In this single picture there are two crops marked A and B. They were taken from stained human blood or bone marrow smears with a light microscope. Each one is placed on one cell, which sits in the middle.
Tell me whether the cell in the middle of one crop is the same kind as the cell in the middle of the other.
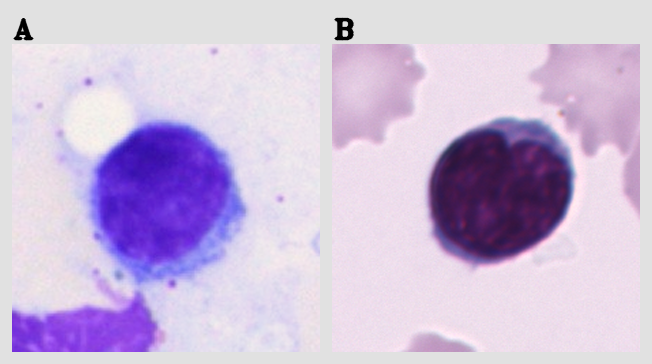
yes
